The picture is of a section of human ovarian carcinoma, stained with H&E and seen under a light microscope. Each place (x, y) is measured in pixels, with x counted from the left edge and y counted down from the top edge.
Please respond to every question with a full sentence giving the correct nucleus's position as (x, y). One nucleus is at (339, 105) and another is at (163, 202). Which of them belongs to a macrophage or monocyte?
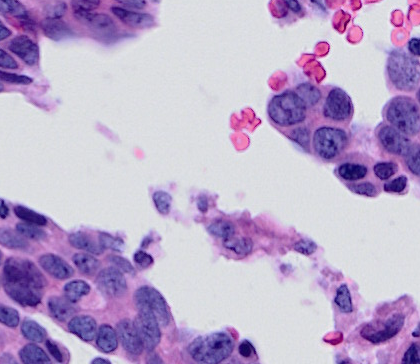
The nucleus at (163, 202) is housed in a macrophage or monocyte.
